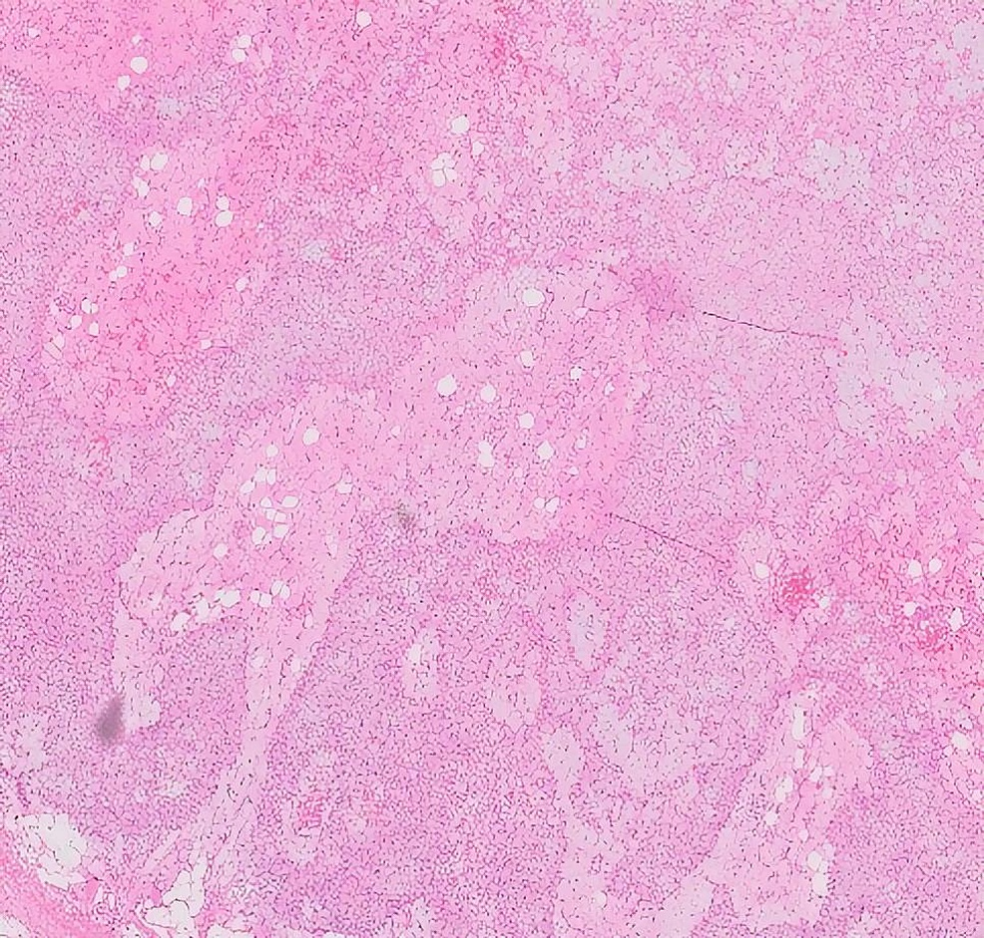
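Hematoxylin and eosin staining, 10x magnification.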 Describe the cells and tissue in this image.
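Paler, looser pink bands run between the lobules and separate them. Round, clear, empty spaces of varying size lie scattered mainly within these paler areas. Along the lower left edge, a cluster of larger clear spaces forms a lacy network. A small focus of bright red appears at the right. The pattern conveys the overall lobulated arrangement of the tissue, not the detail of single cells.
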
